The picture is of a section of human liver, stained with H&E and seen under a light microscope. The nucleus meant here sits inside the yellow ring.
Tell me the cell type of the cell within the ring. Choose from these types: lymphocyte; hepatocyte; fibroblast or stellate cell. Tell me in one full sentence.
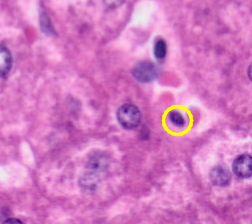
Right, so the cell within the ring is a lymphocyte, to answer that.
